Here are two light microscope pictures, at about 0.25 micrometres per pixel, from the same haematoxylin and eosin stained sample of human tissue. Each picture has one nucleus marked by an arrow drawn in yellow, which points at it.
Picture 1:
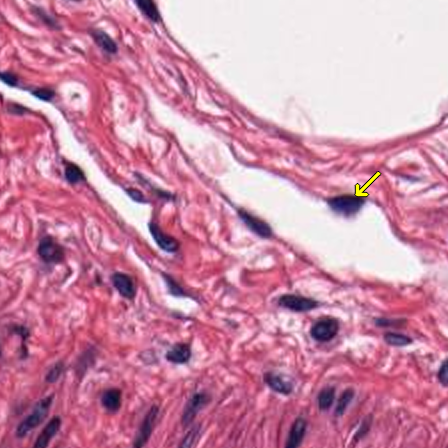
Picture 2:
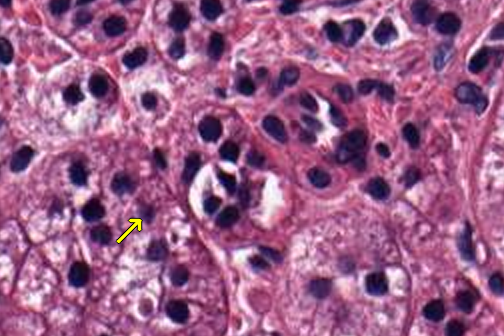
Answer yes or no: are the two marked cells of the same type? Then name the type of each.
No, the first is an endothelial cell and the second an adrenal cortical cell.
